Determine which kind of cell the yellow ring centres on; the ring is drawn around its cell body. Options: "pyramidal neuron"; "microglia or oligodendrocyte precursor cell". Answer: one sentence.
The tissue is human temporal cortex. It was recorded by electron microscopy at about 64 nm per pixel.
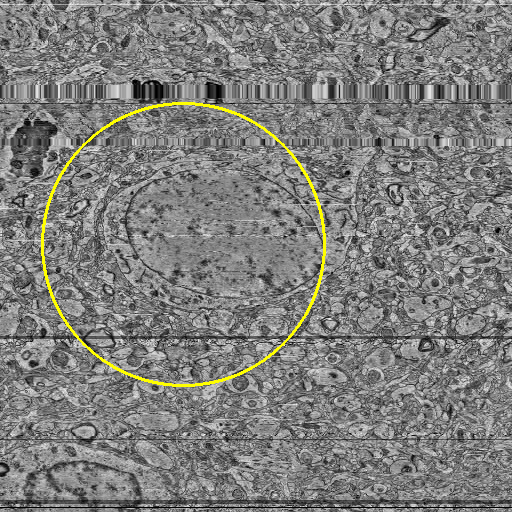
The ring centres on a pyramidal neuron.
